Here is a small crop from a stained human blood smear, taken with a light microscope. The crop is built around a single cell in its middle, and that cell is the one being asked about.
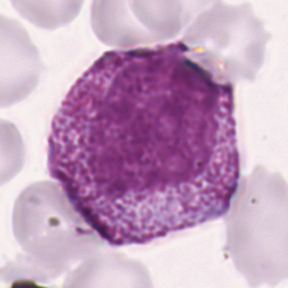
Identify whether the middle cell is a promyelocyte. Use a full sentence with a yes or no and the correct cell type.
Yes, that middle cell in the crop is a promyelocyte.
